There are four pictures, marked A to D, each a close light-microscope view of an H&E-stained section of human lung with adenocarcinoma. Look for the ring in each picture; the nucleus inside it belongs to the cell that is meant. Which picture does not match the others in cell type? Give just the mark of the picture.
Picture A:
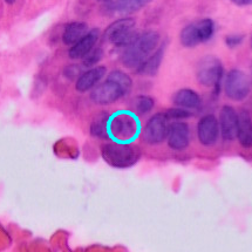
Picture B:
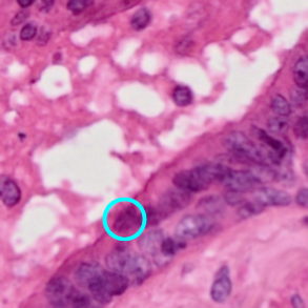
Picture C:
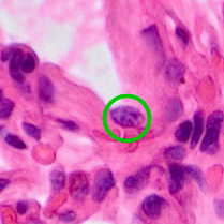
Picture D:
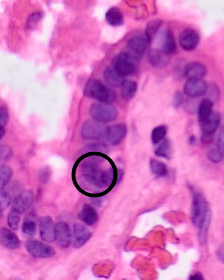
C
